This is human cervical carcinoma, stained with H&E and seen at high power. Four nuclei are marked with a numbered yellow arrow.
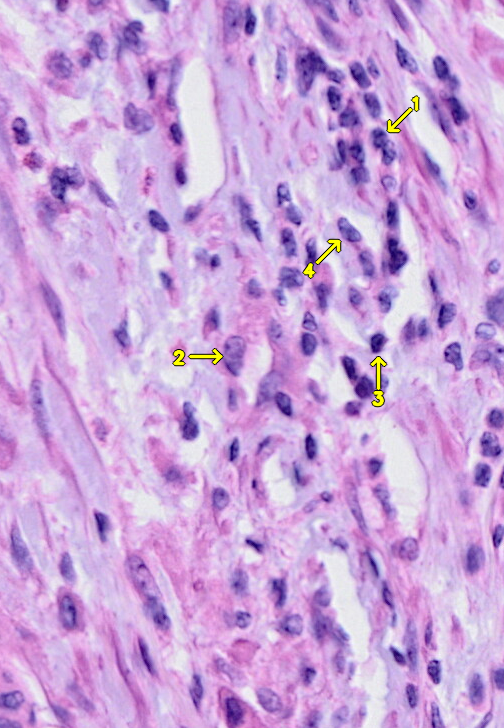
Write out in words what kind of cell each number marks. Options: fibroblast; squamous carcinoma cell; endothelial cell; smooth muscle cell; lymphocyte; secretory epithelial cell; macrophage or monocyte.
Cells 1, 3 and 4 are lymphocytes. Cell 2 is an endothelial cell.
